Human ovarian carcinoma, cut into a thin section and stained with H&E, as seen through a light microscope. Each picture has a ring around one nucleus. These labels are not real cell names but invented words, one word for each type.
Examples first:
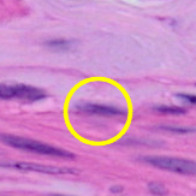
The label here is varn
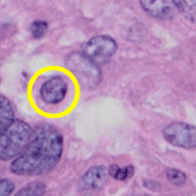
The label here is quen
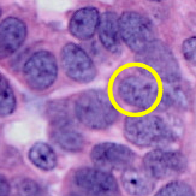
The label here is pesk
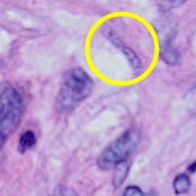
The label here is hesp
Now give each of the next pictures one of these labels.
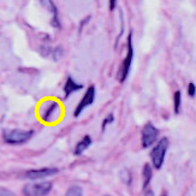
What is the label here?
hesp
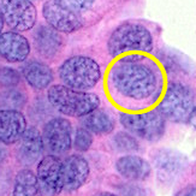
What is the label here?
pesk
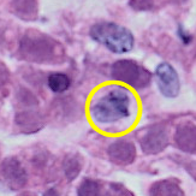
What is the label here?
quen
